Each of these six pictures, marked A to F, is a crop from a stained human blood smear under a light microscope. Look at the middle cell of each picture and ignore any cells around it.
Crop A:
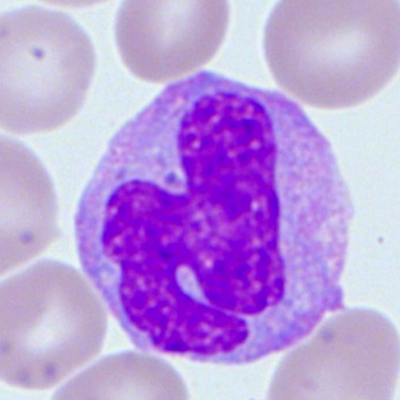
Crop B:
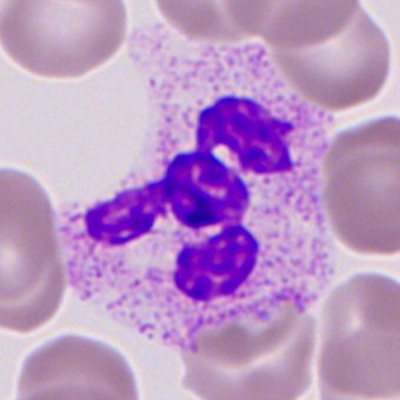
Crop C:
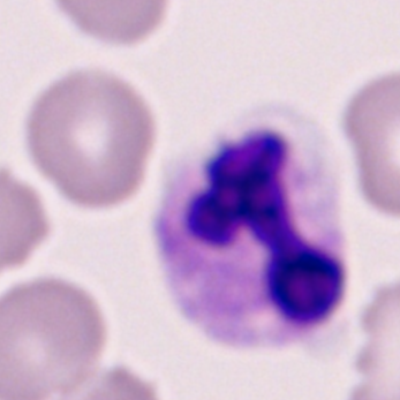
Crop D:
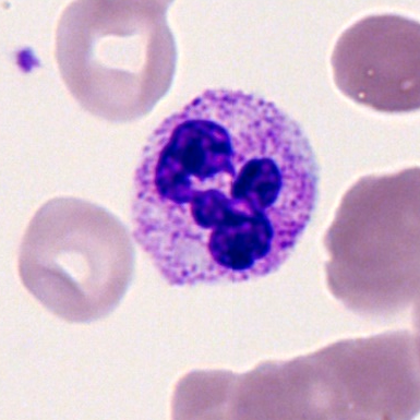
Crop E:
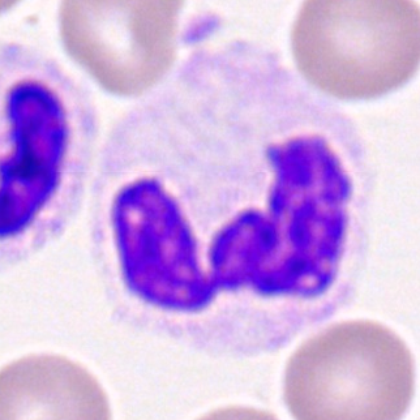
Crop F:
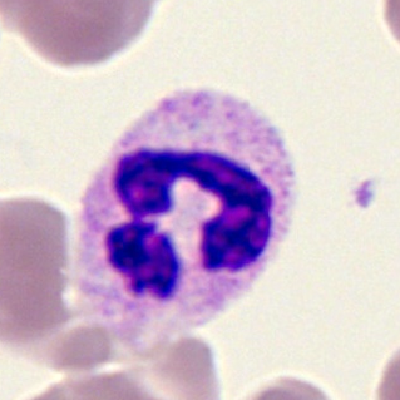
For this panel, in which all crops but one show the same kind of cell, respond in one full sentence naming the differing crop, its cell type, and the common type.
Crop A differs from the others in showing a monocyte; the rest all show segmented neutrophils.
